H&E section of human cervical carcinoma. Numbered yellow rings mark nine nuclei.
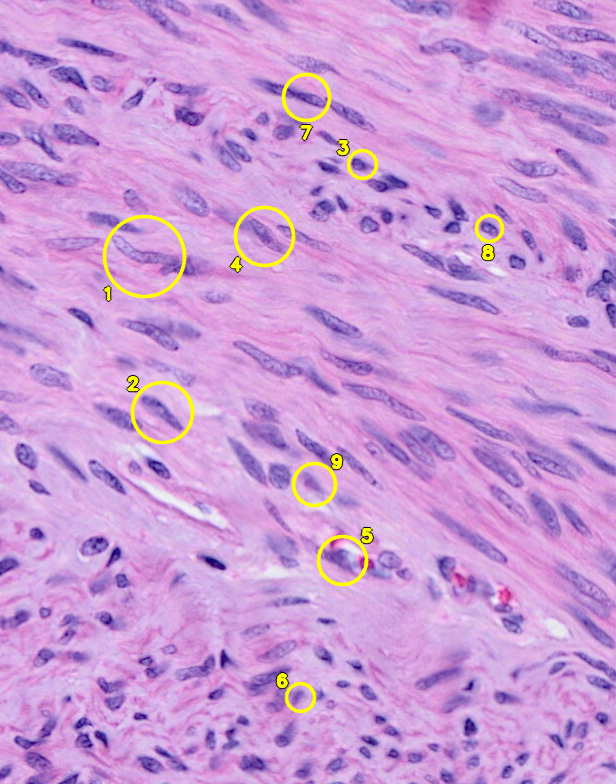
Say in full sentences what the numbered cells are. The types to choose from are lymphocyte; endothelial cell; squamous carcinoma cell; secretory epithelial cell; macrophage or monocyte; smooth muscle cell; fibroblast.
Cells 1, 4, 6 and 8 are smooth muscle cells. Cells 2, 3, 7 and 9 are fibroblasts. Cell 5 is an endothelial cell.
